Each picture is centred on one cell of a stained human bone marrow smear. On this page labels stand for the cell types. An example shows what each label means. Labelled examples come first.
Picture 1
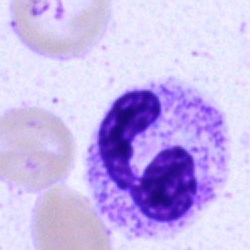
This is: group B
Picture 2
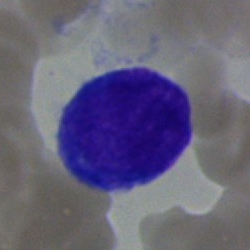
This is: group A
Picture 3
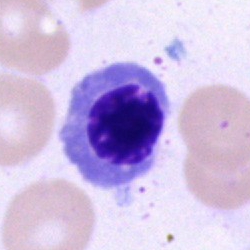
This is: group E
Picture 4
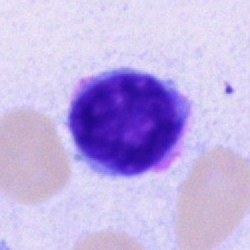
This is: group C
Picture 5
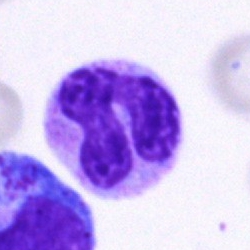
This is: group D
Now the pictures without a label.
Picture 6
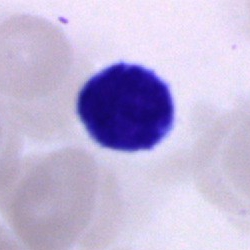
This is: group C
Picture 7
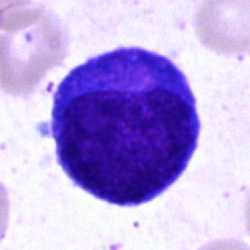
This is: group A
